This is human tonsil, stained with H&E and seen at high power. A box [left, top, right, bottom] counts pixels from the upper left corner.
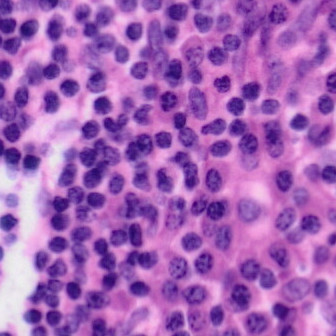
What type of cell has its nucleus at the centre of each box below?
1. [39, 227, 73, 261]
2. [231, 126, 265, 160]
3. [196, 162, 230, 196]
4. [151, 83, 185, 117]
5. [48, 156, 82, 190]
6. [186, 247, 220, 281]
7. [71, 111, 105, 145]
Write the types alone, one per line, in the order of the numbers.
small lymphocyte
plasma cell
plasma cell
plasma cell
small lymphocyte
plasma cell
small lymphocyte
